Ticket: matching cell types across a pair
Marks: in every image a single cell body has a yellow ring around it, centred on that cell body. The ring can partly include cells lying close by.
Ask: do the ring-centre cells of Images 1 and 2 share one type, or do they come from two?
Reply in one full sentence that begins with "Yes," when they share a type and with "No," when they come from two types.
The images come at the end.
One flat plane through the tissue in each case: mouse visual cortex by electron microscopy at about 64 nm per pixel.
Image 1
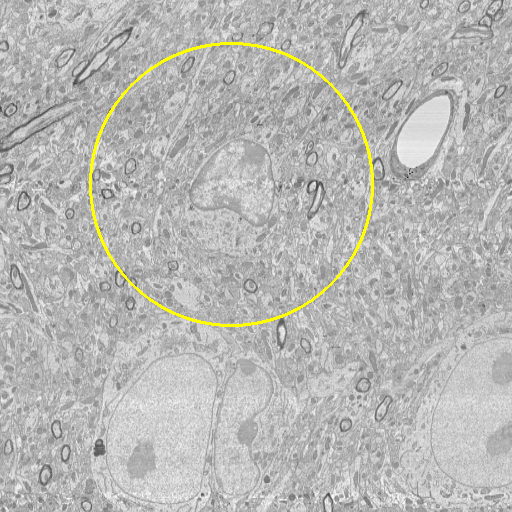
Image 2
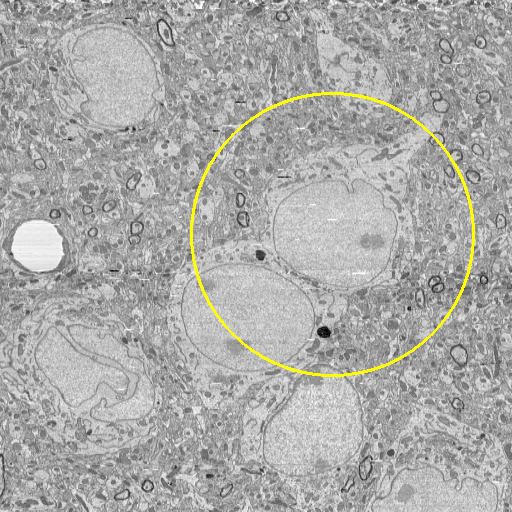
No, the cells in the centres of the rings in Image 1 and Image 2 come from two types.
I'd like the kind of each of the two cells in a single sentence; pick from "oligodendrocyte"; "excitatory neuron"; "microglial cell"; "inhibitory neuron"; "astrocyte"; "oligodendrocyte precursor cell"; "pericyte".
The first ring marks an oligodendrocyte, and the second ring marks an excitatory neuron.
